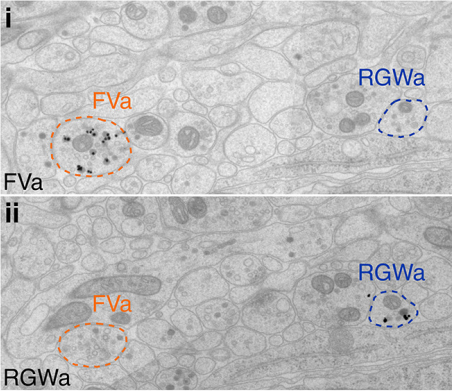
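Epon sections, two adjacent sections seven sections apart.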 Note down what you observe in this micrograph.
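Two electron micrographs of a field of tightly packed nerve fibre profiles cut in cross section, many containing dark round vesicles, with a dark elongated mitochondrion among them. Dashed lines mark one larger vesicle-filled profile on the left and a small one on the right in both sections. Black grains lie over the left outlined profile in the upper image, and over the small right profile in the lower image.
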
